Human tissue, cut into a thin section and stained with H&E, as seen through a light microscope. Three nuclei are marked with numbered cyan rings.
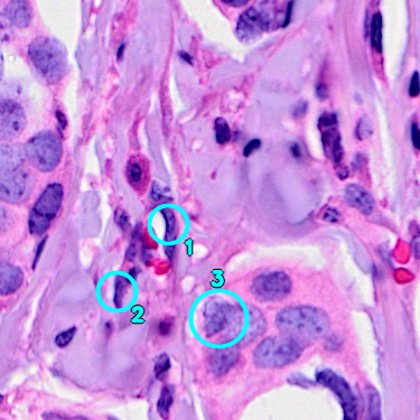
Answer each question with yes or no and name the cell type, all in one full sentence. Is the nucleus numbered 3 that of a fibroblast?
No, the cell given number 3 is a carcinoma cell, as opposed to a fibroblast.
